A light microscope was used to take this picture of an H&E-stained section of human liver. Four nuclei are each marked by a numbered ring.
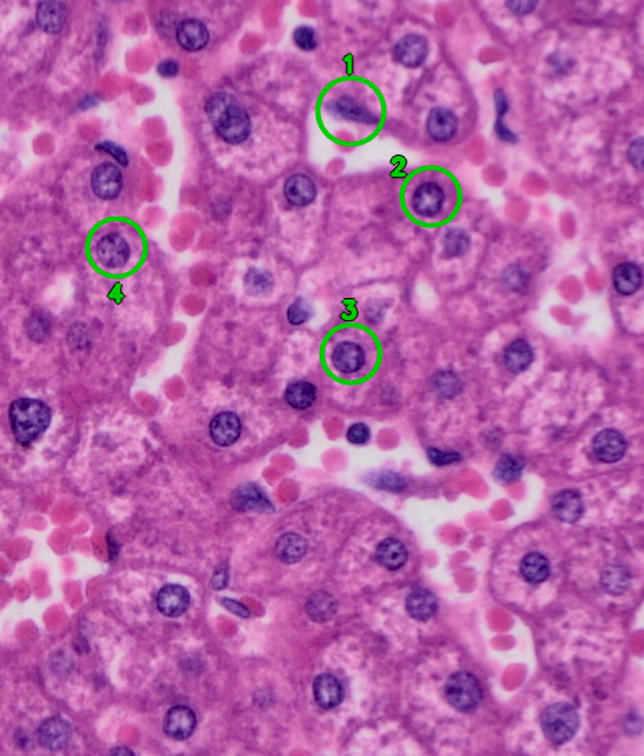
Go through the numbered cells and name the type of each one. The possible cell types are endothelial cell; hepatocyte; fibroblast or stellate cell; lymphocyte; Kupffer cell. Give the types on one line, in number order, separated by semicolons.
Kupffer cell; hepatocyte; hepatocyte; hepatocyte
